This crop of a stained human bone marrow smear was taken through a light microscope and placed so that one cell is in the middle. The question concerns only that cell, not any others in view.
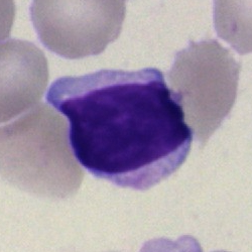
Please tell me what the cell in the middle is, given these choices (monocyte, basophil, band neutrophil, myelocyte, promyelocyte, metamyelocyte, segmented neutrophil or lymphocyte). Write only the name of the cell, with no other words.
lymphocyte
